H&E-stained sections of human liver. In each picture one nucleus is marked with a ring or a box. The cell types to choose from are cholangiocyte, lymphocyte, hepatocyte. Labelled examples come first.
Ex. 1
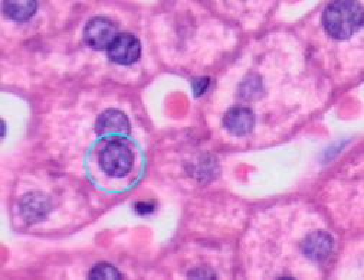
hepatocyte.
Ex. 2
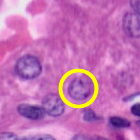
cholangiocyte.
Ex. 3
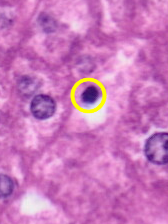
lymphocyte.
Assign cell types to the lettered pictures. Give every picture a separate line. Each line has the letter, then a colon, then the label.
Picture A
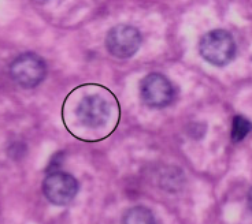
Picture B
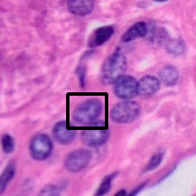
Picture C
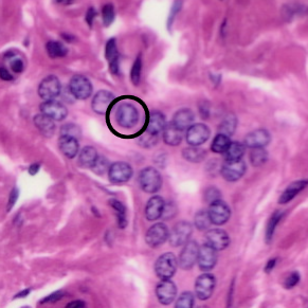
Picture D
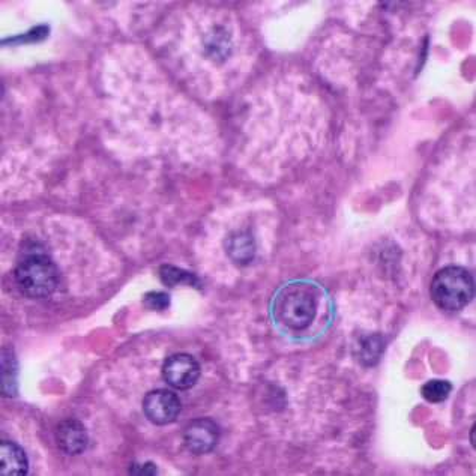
A: hepatocyte.
B: cholangiocyte.
C: cholangiocyte.
D: hepatocyte.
